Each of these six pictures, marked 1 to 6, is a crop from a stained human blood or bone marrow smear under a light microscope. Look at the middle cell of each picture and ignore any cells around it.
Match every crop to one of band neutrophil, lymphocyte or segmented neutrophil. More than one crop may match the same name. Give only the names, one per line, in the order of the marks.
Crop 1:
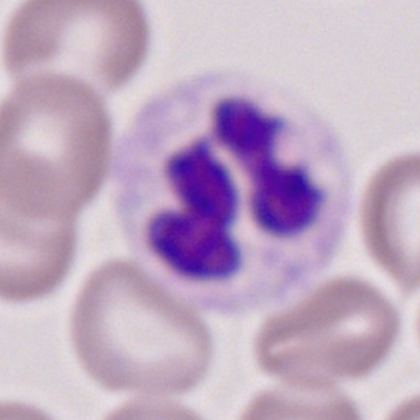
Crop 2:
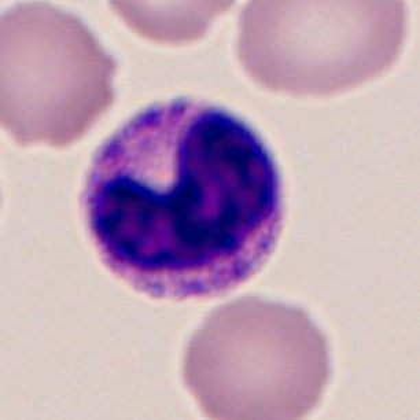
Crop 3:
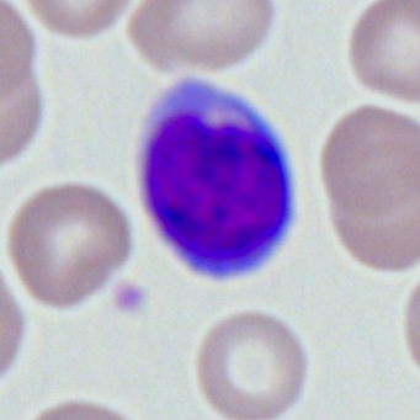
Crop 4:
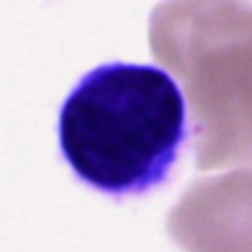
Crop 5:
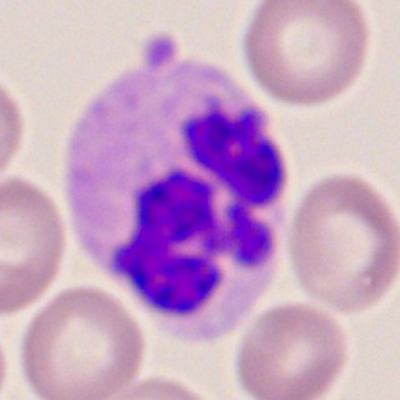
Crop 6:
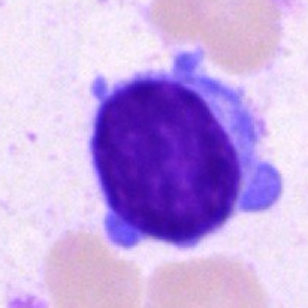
segmented neutrophil
band neutrophil
lymphocyte
lymphocyte
segmented neutrophil
lymphocyte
